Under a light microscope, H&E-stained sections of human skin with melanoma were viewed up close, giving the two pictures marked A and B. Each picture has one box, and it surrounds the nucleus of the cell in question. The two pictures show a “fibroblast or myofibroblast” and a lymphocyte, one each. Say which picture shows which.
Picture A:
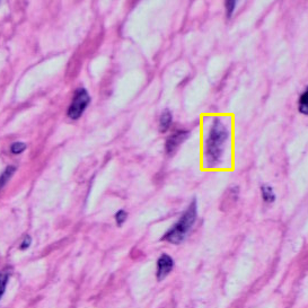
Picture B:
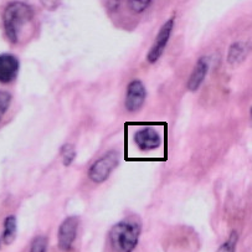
A: fibroblast or myofibroblast
B: lymphocyte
